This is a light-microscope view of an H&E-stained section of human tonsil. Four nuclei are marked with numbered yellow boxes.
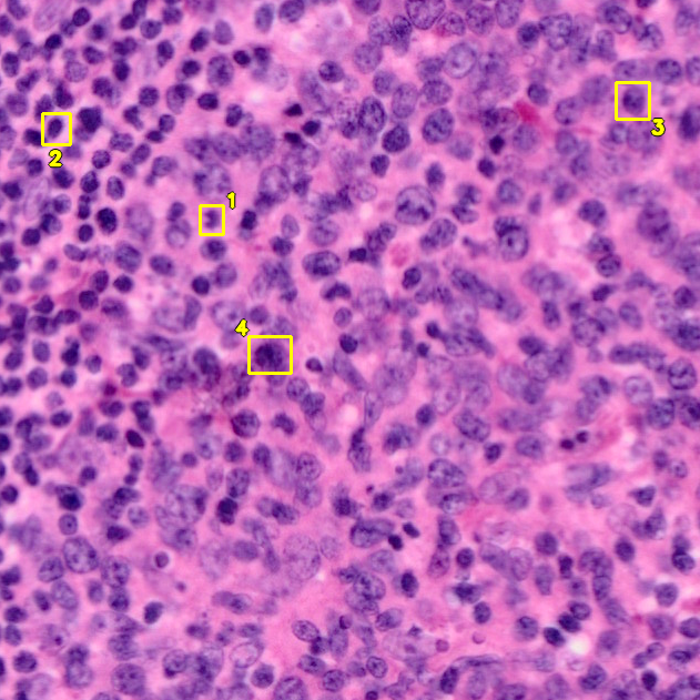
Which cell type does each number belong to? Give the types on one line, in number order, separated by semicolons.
proliferating B cell; small lymphocyte; proliferating B cell; proliferating B cell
